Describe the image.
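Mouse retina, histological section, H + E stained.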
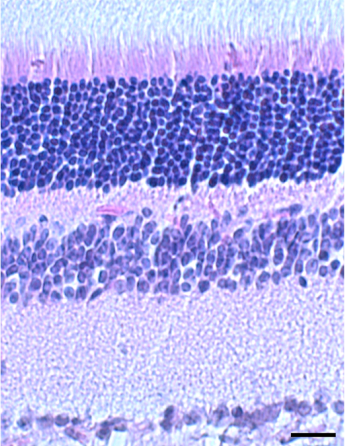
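At the top lies a pale pink, finely striated band of outer segments. Beneath it the outer nuclear layer is a thick band of many rows of small, round, densely packed, darkly purple nuclei. A thin pale pink outer plexiform layer follows. The inner nuclear layer below holds fewer rows of somewhat larger, paler, oval nuclei, more loosely packed. Under it the inner plexiform layer is a broad, pale pink, finely granular band without nuclei. At the bottom the ganglion cell layer has a sparse, irregular single row of cells with pale nuclei.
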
